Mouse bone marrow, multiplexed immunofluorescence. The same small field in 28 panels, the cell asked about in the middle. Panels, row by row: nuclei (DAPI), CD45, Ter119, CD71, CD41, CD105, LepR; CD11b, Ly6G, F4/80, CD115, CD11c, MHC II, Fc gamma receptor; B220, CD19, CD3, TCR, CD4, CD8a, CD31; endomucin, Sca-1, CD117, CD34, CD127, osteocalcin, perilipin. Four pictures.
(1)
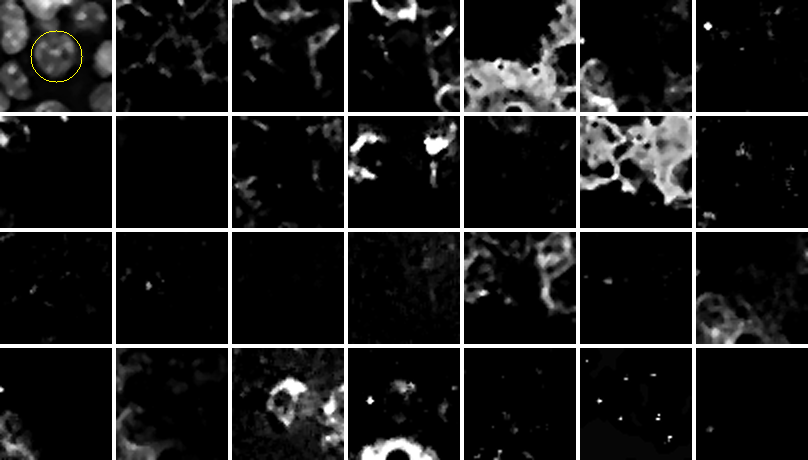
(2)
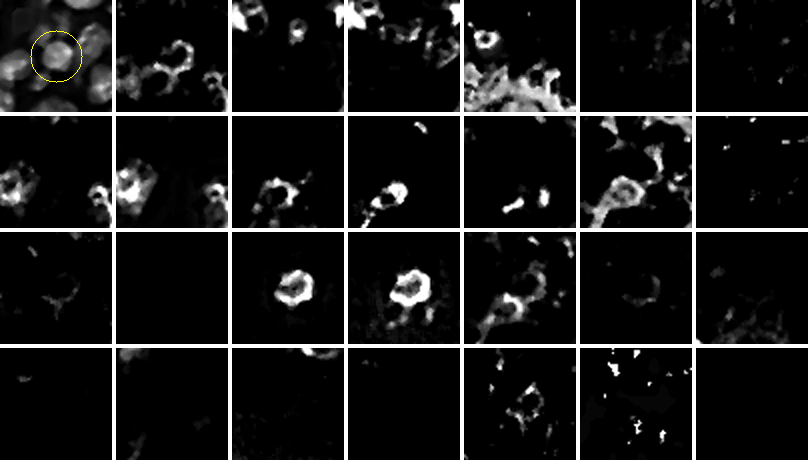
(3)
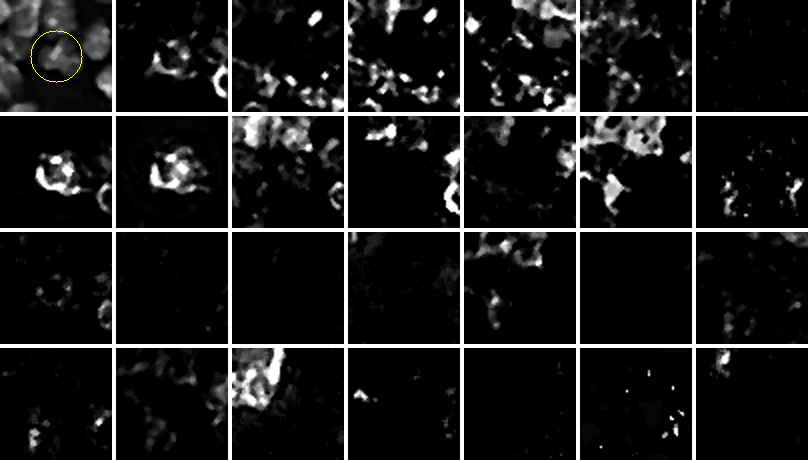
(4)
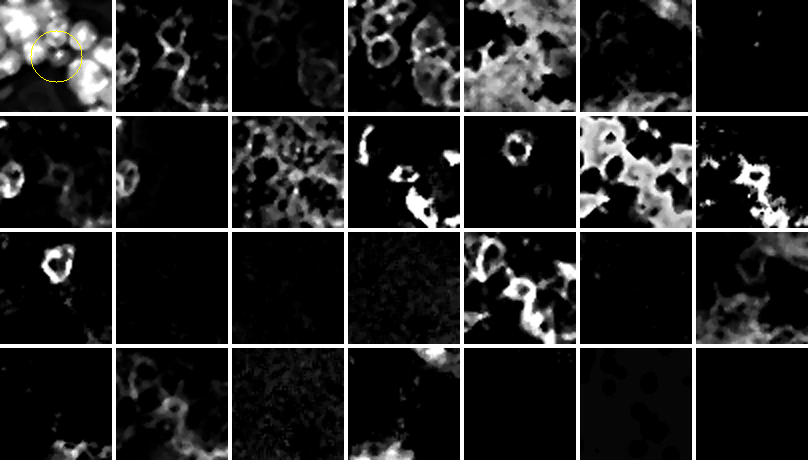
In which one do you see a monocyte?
In picture 4.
